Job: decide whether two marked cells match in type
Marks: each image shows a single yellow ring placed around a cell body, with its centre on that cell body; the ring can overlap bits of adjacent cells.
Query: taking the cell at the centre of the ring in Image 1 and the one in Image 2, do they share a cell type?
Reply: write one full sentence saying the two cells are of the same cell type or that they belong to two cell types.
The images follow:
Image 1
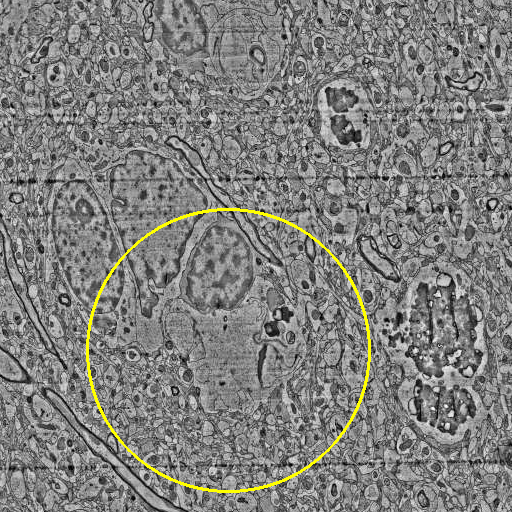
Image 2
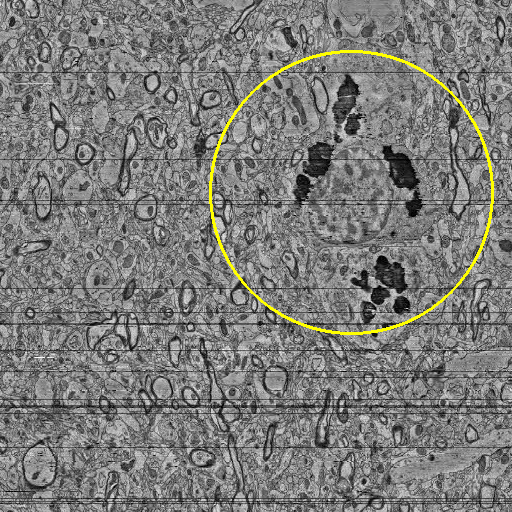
The cells at the ring centres in Image 1 and Image 2 belong to two cell types.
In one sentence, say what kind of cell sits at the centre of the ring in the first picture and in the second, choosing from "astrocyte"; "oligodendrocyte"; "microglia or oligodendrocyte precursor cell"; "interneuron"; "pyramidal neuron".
The first picture's ringed cell is an astrocyte, while the second picture's is an oligodendrocyte.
